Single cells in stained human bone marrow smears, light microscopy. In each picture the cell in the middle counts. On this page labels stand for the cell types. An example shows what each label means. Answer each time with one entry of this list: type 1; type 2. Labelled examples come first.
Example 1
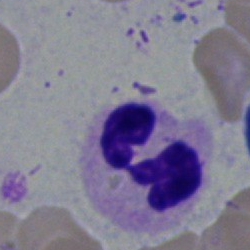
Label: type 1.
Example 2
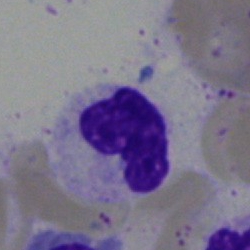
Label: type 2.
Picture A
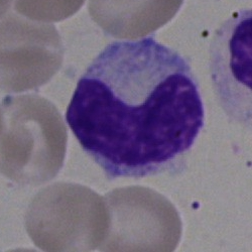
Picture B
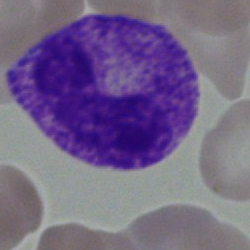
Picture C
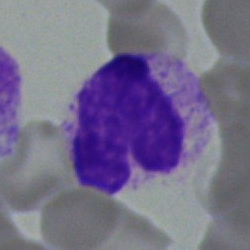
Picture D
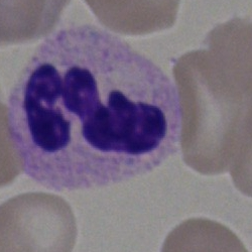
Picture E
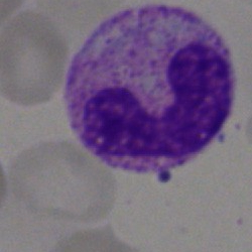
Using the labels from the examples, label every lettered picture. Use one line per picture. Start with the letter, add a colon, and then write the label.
A: type 2.
B: type 2.
C: type 2.
D: type 1.
E: type 2.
